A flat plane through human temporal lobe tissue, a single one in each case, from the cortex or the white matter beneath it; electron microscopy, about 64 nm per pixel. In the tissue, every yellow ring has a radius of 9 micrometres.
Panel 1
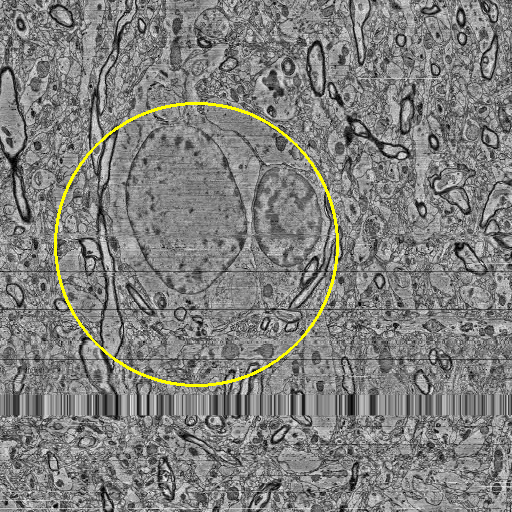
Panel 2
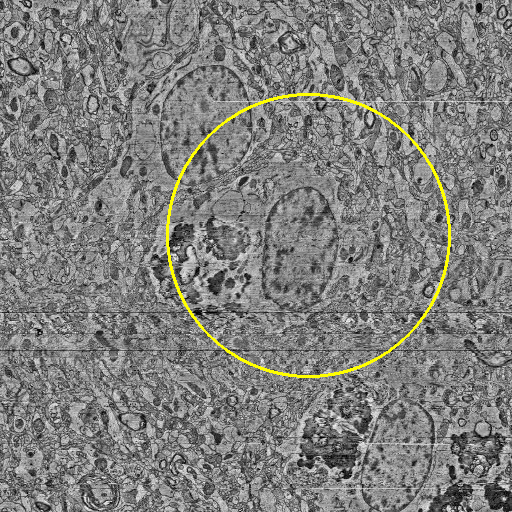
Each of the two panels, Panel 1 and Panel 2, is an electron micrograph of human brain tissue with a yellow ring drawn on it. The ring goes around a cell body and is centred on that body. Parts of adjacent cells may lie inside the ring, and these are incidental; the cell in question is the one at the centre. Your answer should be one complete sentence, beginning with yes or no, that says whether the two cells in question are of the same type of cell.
Yes, the two cells are of the same type.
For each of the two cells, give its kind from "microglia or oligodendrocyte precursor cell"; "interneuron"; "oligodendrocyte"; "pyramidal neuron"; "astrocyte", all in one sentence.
In each picture the ringed cell is an astrocyte.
